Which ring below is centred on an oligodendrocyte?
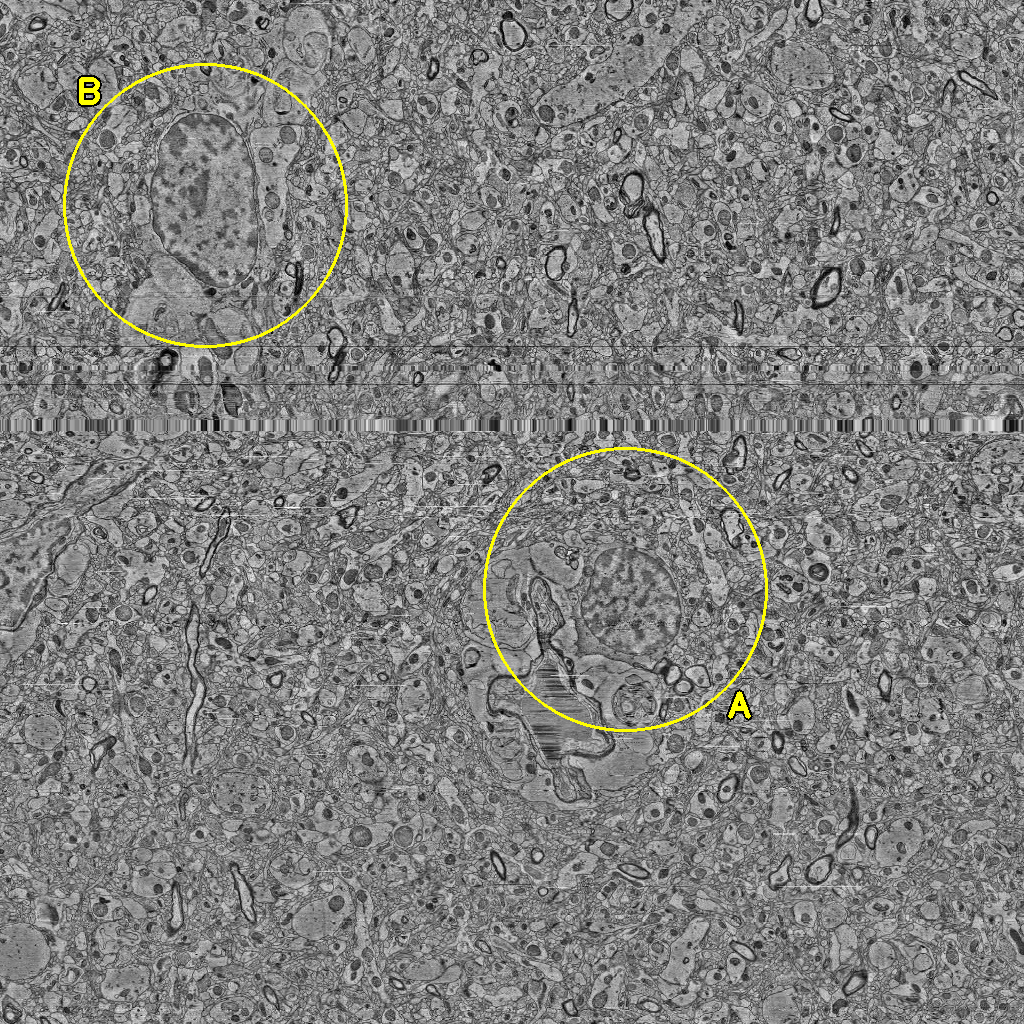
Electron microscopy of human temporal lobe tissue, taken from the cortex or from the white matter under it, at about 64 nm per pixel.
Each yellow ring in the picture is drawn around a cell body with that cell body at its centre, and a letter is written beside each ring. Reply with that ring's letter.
A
